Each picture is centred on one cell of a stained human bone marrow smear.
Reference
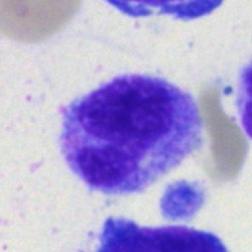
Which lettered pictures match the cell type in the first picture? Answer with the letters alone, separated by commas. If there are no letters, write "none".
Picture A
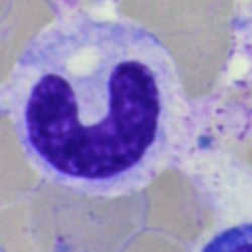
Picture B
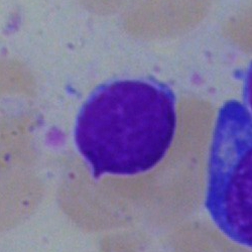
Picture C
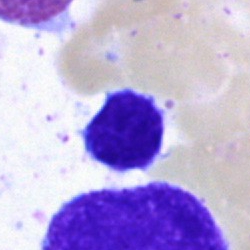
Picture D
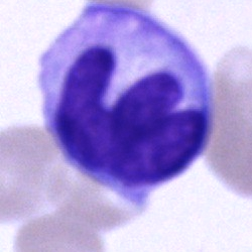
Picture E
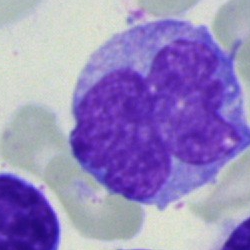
D, E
